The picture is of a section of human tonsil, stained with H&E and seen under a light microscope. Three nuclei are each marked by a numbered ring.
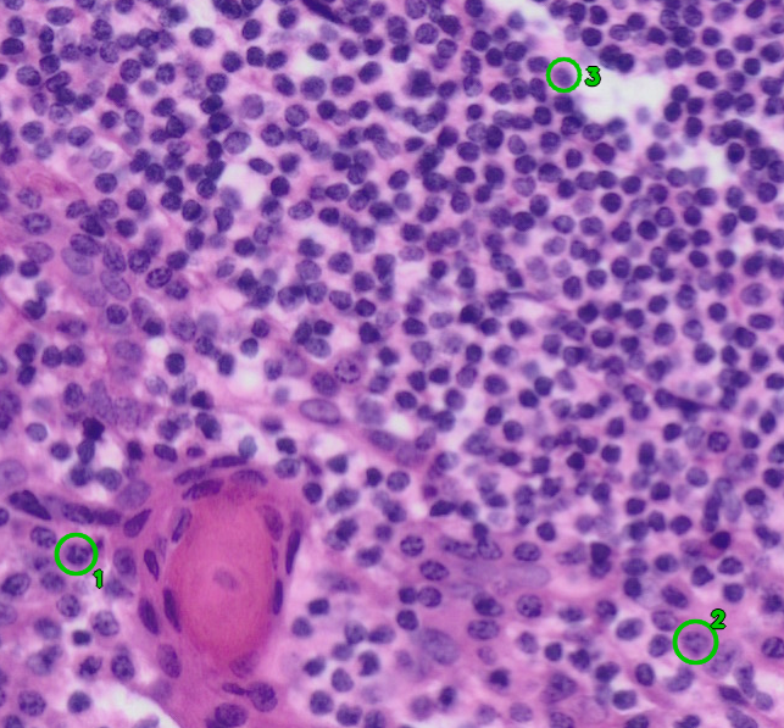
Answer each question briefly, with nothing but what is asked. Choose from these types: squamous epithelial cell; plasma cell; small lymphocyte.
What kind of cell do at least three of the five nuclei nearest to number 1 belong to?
plasma cell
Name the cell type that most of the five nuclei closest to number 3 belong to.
small lymphocyte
